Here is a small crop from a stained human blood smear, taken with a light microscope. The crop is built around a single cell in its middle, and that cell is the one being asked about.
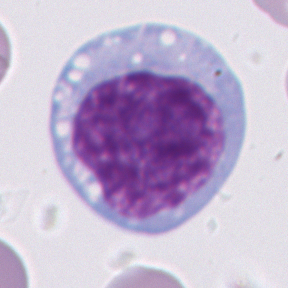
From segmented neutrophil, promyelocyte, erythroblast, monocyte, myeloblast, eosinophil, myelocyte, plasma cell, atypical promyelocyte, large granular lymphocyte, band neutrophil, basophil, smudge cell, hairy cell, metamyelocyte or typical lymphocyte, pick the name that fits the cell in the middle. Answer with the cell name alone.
myeloblast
